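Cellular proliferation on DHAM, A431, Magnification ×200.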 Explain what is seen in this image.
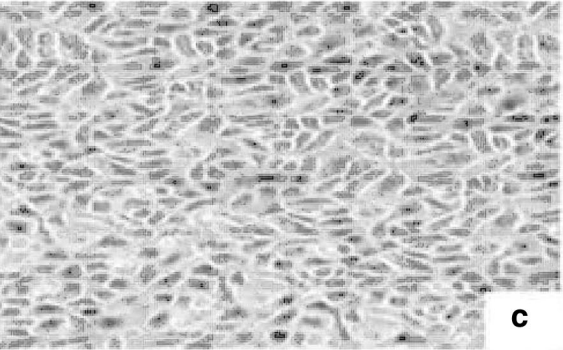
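Keratinocytes grow as a dense, continuous sheet of small epithelial cells. Each cell is polygonal to oval, with a darker central body outlined by a bright halo at its border, so the sheet looks like a net or cobblestone pavement. Cells lie edge to edge with no gaps, and many are slightly drawn out in a left-to-right direction. They are fairly uniform in size across the field.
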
